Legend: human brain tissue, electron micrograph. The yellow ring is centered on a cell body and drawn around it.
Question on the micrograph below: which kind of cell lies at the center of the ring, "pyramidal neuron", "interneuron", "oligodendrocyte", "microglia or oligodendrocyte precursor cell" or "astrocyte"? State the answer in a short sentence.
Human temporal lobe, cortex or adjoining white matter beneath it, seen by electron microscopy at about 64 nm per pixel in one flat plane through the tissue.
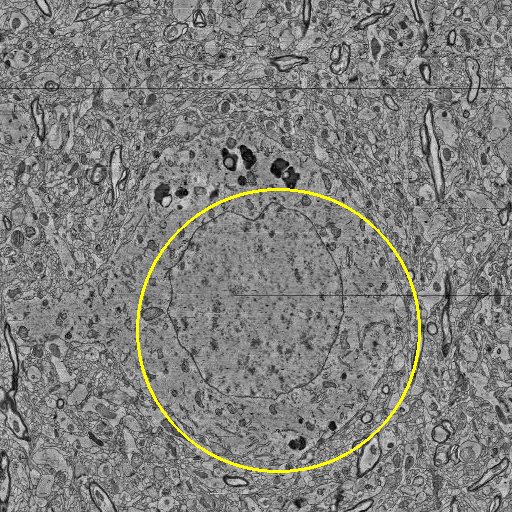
At the center of the ring lies a pyramidal neuron.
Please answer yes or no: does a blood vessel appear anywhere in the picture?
No, the image shows no blood vessel.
